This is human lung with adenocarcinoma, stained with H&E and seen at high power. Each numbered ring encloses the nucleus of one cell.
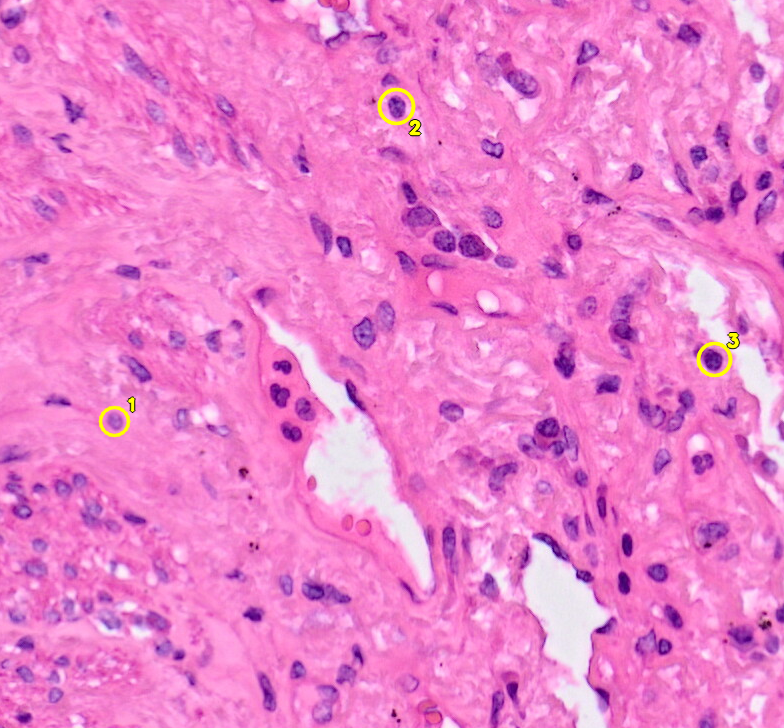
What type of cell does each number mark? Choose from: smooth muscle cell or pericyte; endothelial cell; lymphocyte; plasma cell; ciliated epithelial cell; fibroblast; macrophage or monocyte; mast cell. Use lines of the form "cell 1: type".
cell 1: mast cell
cell 2: lymphocyte
cell 3: lymphocyte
